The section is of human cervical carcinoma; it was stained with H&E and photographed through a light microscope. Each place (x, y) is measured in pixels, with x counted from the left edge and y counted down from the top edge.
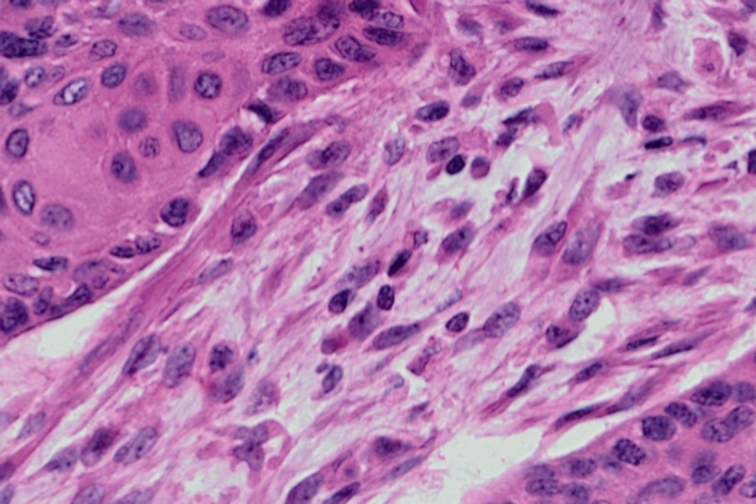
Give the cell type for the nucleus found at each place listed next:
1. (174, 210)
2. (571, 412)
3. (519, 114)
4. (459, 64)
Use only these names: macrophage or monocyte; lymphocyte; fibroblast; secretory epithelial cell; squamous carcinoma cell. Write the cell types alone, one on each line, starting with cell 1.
squamous carcinoma cell
fibroblast
fibroblast
macrophage or monocyte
